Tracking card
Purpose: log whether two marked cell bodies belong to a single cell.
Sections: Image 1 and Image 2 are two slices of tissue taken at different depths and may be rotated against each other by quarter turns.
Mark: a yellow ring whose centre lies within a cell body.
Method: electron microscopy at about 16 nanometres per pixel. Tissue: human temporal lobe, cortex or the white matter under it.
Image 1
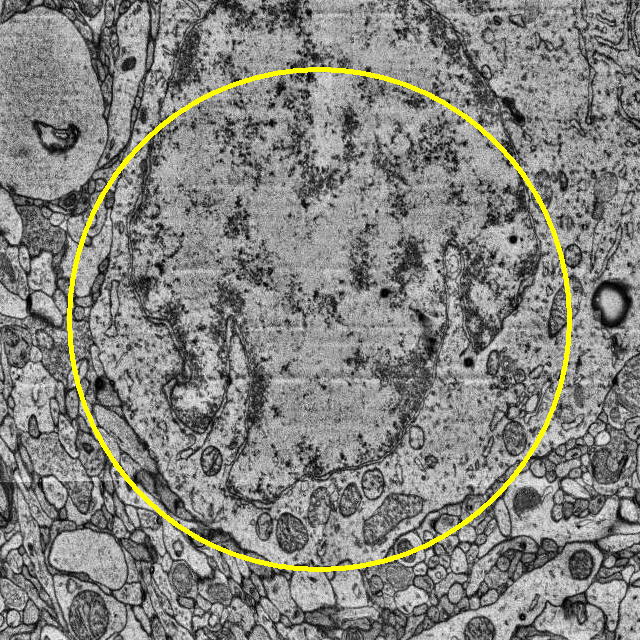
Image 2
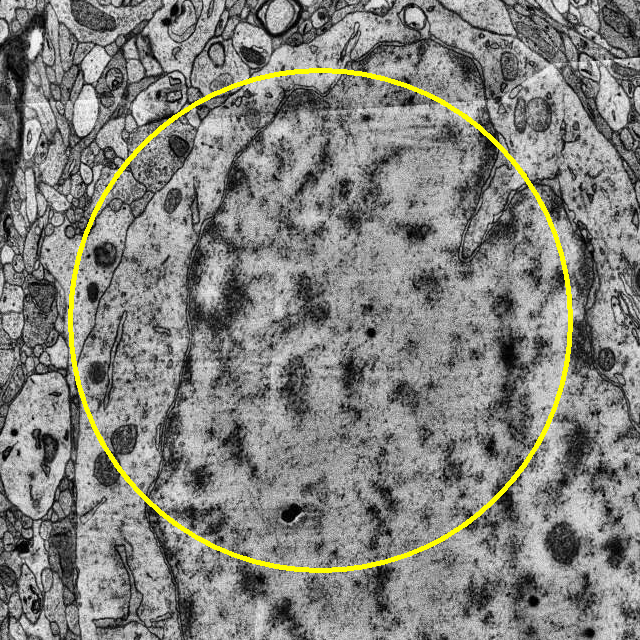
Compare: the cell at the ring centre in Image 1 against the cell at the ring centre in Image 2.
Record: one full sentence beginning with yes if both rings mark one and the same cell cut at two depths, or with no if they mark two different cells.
No, the two rings outline two separate cells in this micrograph.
